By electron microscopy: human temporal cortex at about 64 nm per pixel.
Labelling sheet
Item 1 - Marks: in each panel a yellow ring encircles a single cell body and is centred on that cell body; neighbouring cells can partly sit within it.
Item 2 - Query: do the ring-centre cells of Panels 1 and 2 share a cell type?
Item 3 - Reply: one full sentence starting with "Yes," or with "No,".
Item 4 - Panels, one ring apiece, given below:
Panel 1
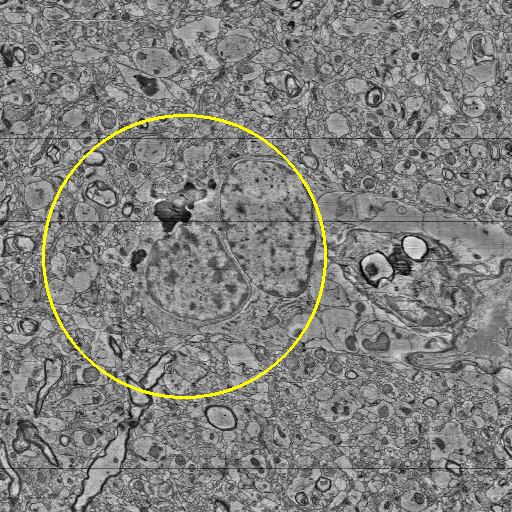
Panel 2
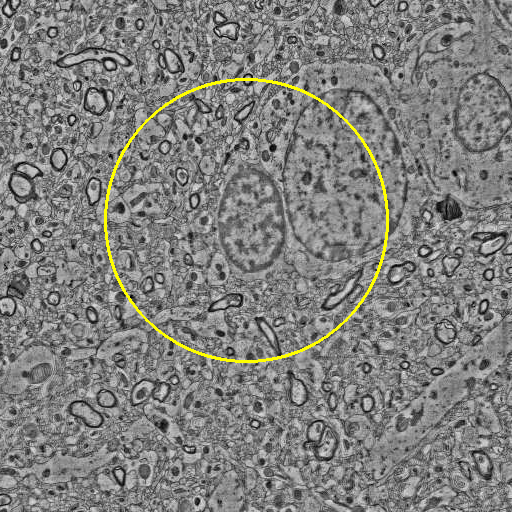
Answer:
Yes, Panel 1 and Panel 2 show one cell type at the centres of their rings.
